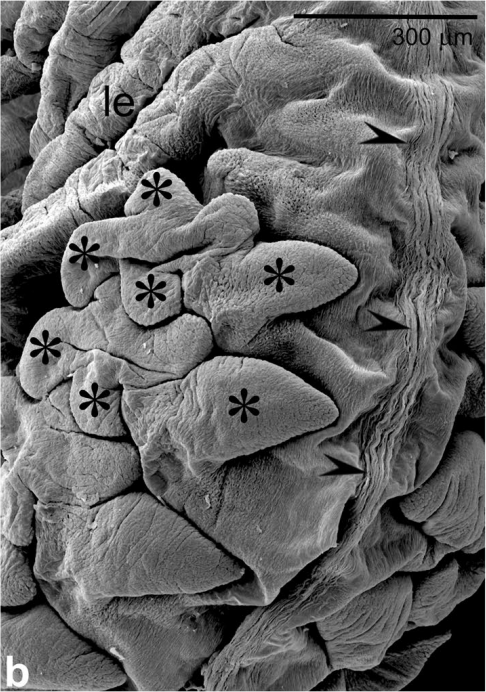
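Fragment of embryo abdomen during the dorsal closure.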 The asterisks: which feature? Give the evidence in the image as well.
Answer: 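Flattened, tongue-shaped flaps overlap one another on the body surface.
Hence: lobes.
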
